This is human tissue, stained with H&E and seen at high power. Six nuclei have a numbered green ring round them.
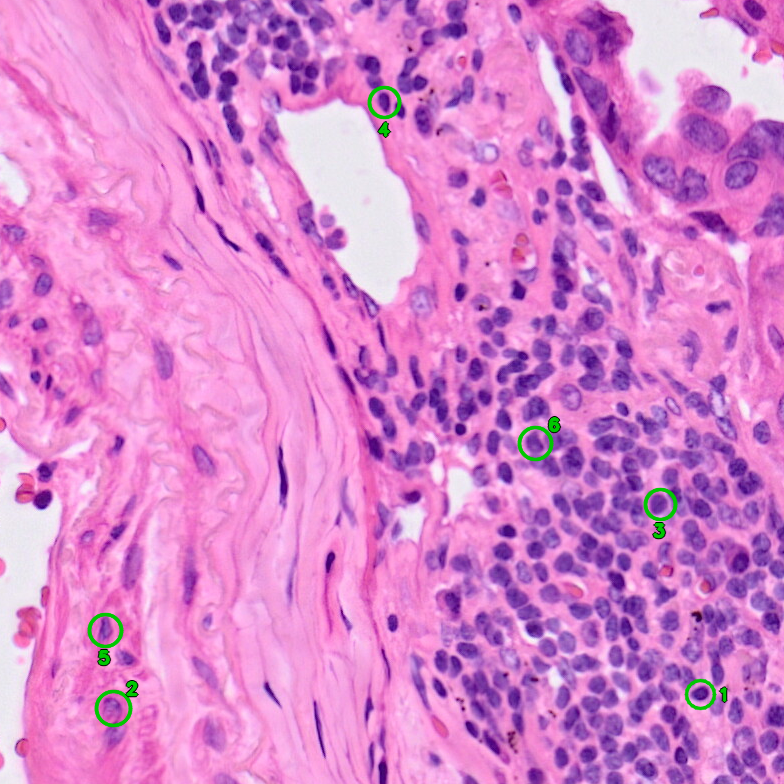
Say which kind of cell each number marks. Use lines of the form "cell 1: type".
cell 1: lymphocyte
cell 2: smooth muscle cell or pericyte
cell 3: lymphocyte
cell 4: lymphocyte
cell 5: smooth muscle cell or pericyte
cell 6: lymphocyte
